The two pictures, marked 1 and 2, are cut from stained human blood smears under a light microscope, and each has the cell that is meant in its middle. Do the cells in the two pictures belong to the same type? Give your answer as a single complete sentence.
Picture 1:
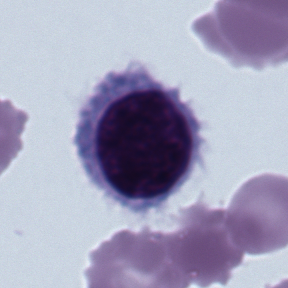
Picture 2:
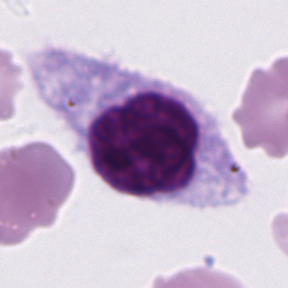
Yes, the two pictures both show hairy cells.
